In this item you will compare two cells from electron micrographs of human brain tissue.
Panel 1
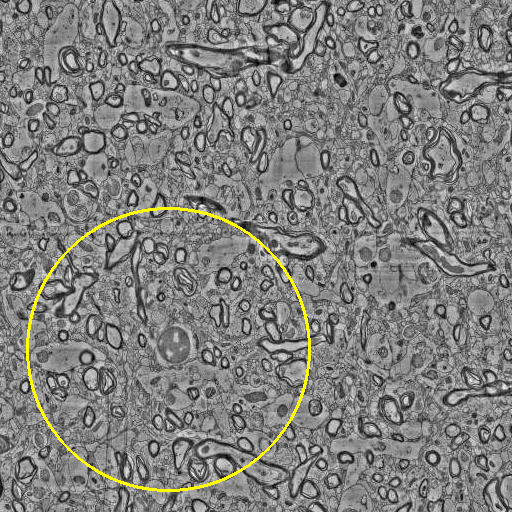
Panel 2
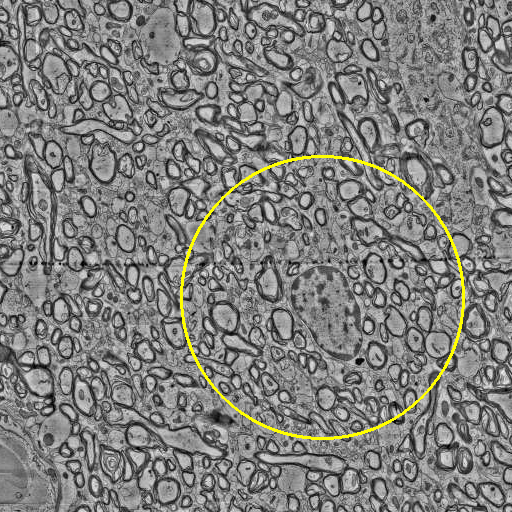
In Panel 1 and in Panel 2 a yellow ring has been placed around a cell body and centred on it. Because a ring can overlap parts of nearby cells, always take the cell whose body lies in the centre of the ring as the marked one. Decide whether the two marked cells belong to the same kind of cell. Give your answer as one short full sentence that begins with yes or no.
Yes, the two marked cells belong to the same kind of cell.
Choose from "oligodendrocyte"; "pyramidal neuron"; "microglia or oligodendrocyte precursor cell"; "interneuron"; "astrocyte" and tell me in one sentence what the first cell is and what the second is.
Each of the ringed cells, first and second, is a microglial cell or oligodendrocyte precursor cell.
